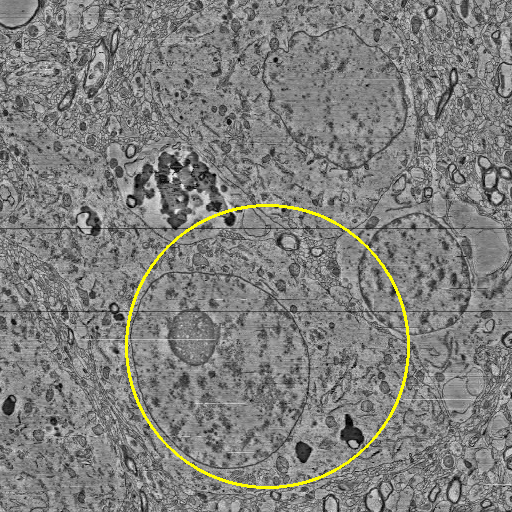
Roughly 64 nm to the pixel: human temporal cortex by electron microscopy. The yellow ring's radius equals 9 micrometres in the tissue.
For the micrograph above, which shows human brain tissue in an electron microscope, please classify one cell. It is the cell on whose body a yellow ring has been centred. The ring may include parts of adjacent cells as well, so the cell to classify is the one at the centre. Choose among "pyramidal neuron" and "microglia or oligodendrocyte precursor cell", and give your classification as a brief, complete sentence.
I classify this cell as a pyramidal neuron.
